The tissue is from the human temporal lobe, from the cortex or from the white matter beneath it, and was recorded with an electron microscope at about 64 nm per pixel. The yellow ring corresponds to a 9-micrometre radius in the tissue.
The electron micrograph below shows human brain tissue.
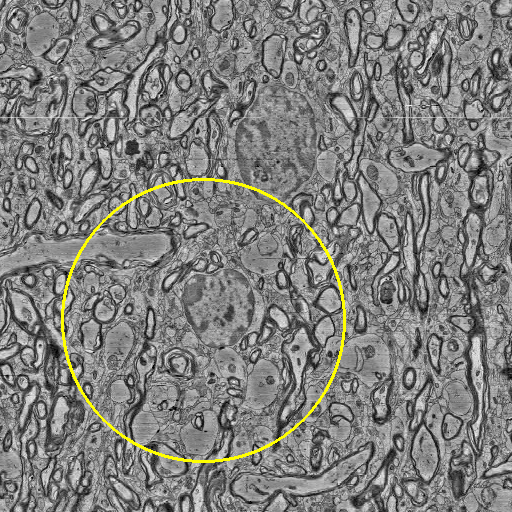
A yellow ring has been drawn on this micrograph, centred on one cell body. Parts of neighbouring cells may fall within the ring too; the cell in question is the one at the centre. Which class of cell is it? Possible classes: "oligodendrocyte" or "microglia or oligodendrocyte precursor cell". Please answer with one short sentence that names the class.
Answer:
In the centre of the ring sits a microglial cell or oligodendrocyte precursor cell.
